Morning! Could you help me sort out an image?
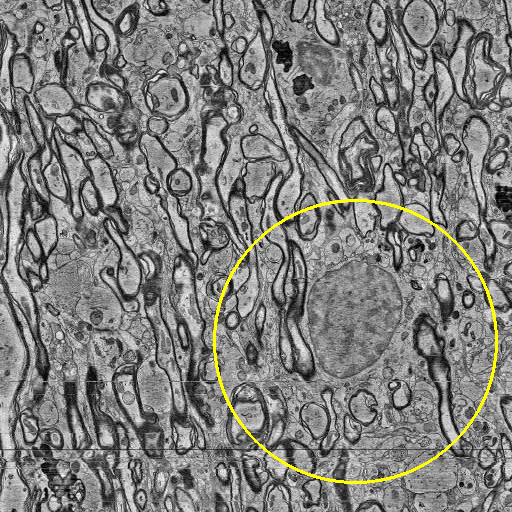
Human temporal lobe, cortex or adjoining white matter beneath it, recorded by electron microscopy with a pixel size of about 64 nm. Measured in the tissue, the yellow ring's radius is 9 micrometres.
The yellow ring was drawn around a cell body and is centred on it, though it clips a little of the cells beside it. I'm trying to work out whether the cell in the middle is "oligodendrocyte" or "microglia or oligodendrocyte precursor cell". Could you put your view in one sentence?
The ringed cell body is that of an oligodendrocyte.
